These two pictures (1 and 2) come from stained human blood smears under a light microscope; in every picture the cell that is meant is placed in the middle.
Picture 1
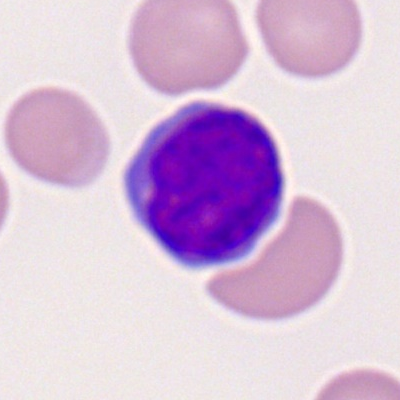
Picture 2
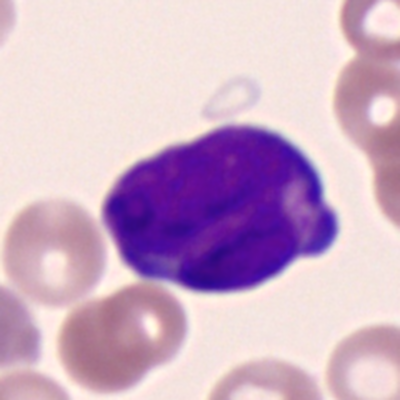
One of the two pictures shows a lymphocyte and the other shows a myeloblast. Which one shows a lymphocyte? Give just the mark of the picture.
1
